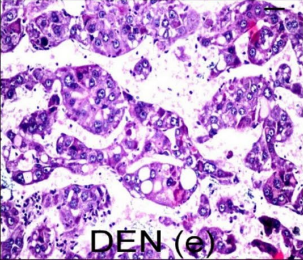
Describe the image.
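The field shows irregular islands and cords of crowded cells with purple-pink cytoplasm, separated by wide pale spaces instead of orderly liver cell plates. The cells have enlarged, variably shaped nuclei, many with visible nucleoli, and some cells contain clear cytoplasmic vacuoles. A few small gland-like arrangements and scattered red blood cells are seen. This is hepatic parenchyma replaced by groups of anaplastic cells.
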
